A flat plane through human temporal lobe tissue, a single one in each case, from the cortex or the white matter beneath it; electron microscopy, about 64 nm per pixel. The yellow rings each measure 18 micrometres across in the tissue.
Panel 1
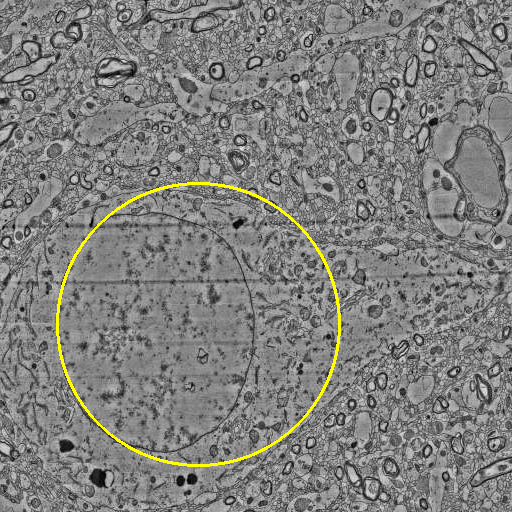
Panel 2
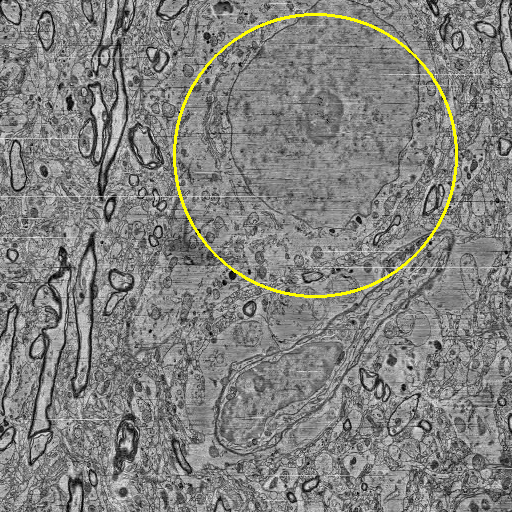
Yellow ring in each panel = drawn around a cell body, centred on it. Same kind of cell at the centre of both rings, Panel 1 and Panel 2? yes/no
yes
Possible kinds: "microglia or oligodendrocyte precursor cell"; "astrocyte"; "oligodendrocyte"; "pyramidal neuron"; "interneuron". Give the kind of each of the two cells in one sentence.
The cell in the first picture is a pyramidal neuron, and so is the one in the second.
